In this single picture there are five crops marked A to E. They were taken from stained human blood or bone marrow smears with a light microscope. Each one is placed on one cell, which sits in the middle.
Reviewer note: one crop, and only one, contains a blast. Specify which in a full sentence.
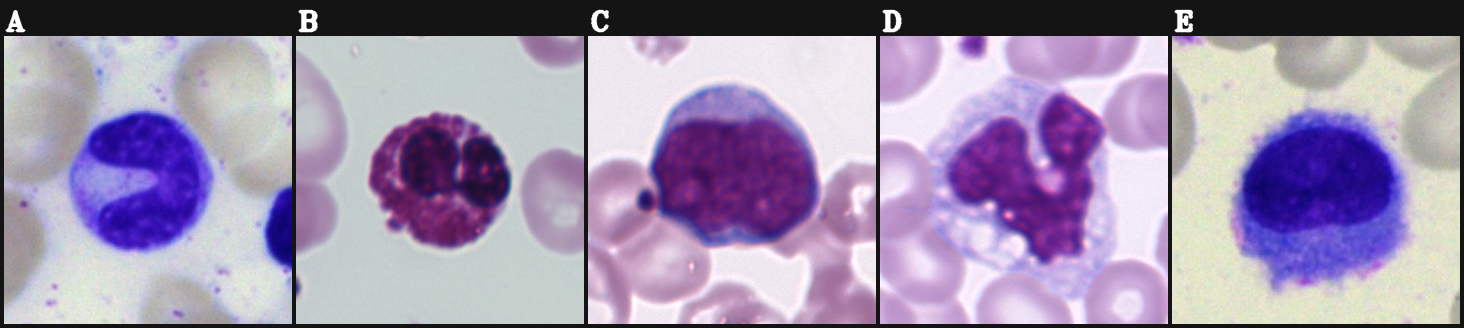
Of the crops given, a blast is found in crop C.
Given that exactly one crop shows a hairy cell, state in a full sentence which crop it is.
Crop E is the right one; it is the crop showing a hairy cell.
